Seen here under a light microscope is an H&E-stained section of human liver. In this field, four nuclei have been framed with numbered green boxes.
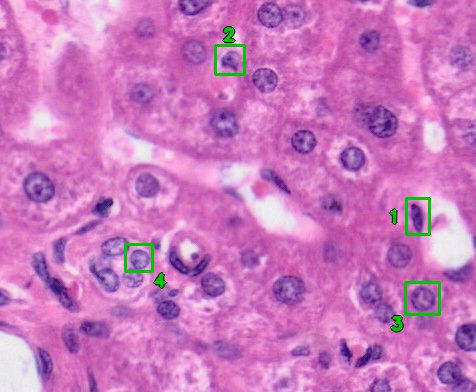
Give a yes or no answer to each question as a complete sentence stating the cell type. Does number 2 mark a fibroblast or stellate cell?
No, calling cell 2 a fibroblast or stellate cell is incorrect; it is an endothelial cell.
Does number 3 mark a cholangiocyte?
No, the cell given the number 3 is a hepatocyte, so not a cholangiocyte.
